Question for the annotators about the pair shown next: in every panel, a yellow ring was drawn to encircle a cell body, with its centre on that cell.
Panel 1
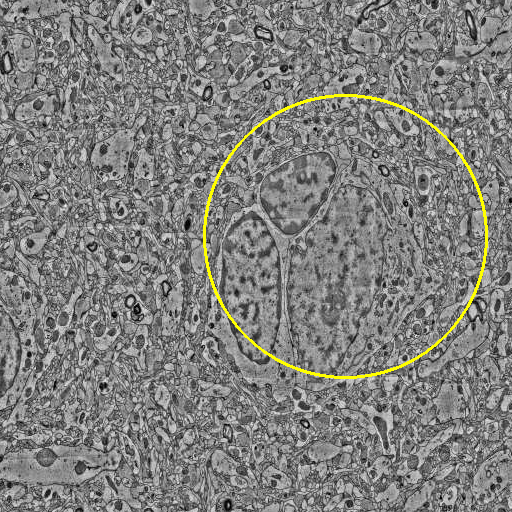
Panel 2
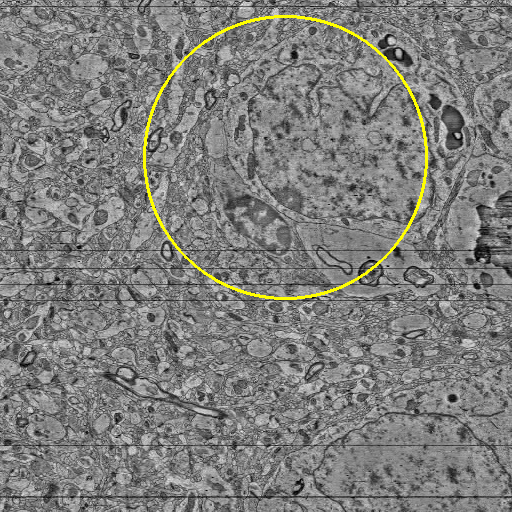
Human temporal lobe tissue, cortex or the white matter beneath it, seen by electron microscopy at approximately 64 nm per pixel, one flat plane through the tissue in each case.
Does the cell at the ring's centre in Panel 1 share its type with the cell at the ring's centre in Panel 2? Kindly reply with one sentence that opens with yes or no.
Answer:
Yes, in Panels 1 and 2 the cells at the ring centres belong to a single type.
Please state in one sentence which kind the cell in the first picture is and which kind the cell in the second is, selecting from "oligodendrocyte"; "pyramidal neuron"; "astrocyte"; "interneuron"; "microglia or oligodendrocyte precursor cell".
In each picture the ringed cell is an interneuron.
